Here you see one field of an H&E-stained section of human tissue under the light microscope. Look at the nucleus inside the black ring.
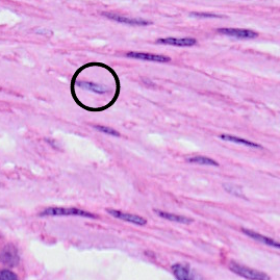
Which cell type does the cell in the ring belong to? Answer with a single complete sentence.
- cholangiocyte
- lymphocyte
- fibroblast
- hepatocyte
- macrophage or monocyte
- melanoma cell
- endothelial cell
In terms of identity, the cell in the ring is a fibroblast.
